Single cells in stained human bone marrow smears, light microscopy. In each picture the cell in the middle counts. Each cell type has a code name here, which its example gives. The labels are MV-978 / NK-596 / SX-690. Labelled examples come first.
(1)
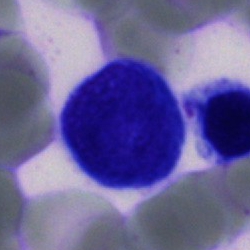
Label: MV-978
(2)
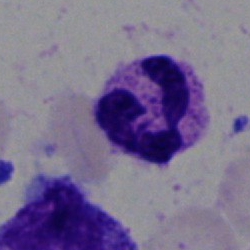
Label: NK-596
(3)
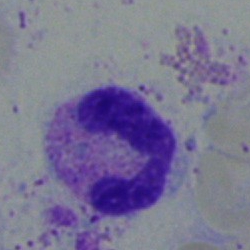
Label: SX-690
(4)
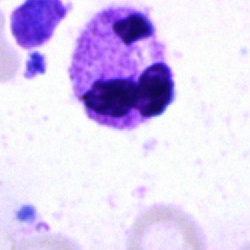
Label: NK-596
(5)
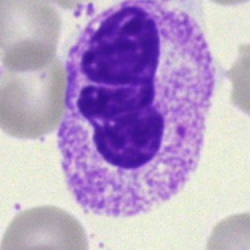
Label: NK-596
